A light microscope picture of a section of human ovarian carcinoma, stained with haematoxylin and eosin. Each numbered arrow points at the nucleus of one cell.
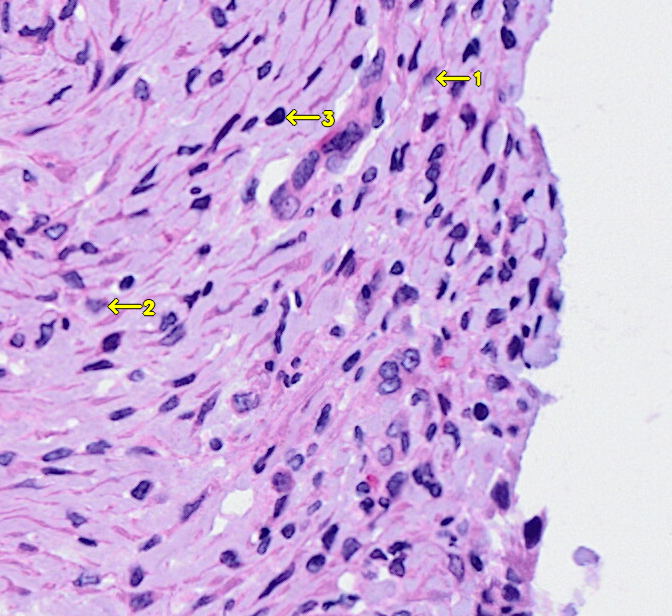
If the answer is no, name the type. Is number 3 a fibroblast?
No, it is a lymphocyte.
